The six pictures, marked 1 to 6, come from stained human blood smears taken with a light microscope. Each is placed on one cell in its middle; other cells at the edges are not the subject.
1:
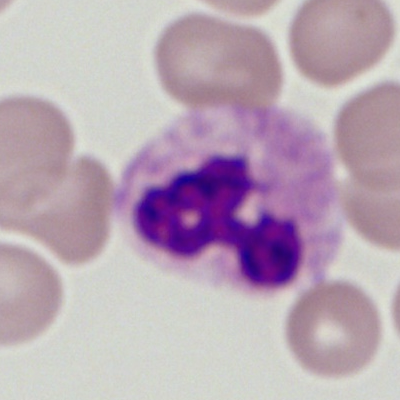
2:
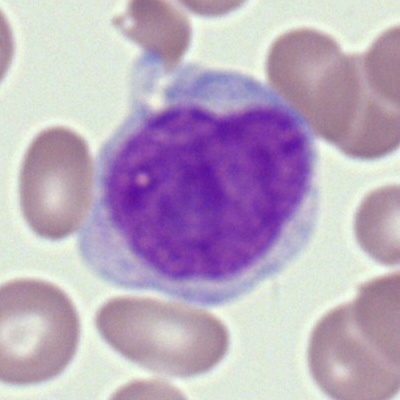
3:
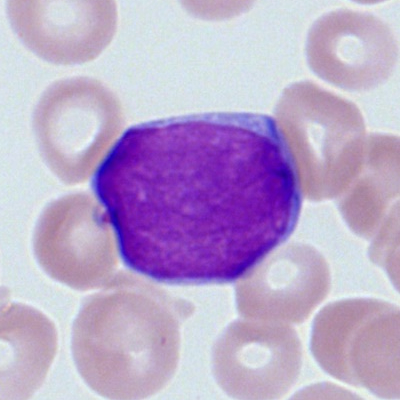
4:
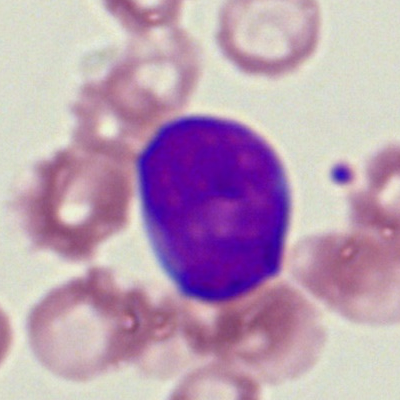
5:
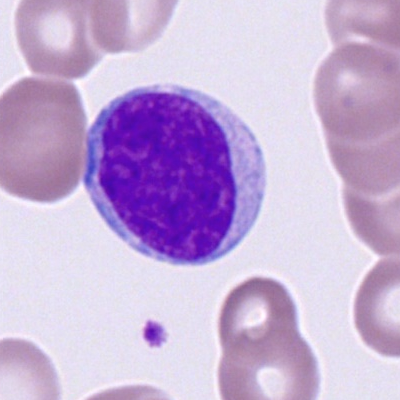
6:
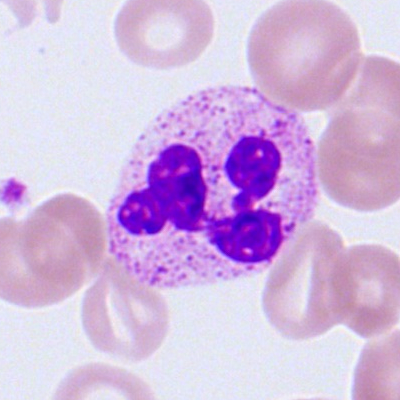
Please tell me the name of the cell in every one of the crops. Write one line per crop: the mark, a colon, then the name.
1: segmented neutrophil
2: myeloblast
3: myeloblast
4: myeloblast
5: myeloblast
6: segmented neutrophil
